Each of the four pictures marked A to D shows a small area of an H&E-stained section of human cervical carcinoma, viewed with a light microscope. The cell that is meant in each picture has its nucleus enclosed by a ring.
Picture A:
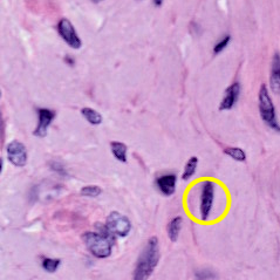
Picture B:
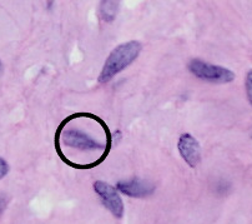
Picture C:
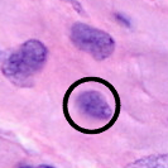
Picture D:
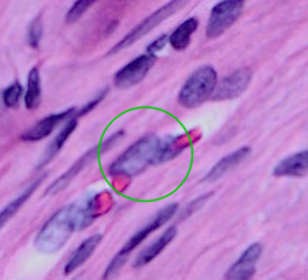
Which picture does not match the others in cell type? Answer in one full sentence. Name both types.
All pictures except D show fibroblasts; picture D shows an endothelial cell.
